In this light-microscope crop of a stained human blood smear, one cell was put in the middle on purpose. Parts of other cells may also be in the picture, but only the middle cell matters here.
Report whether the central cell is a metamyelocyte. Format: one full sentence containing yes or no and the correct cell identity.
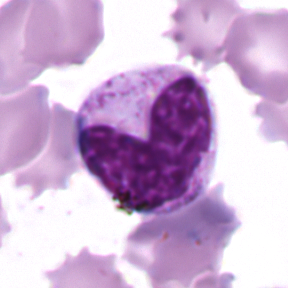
No, the cell in the middle is a band neutrophil; it is not a metamyelocyte.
